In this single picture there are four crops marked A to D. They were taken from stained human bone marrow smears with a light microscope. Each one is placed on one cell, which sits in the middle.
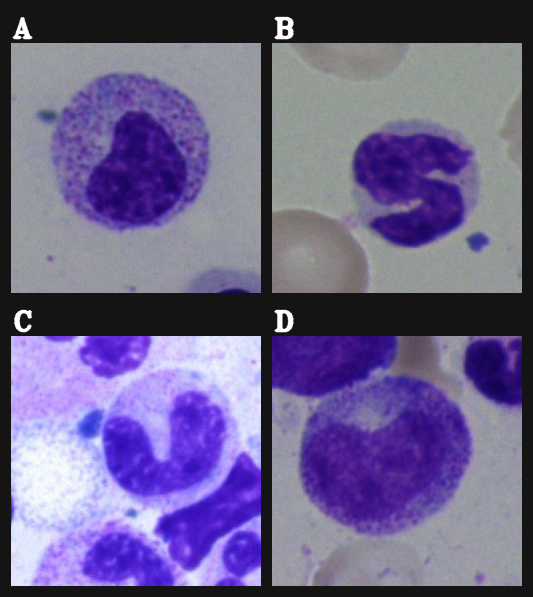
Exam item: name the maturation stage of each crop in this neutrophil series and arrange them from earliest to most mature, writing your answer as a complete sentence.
By increasing maturity, the order is crop D (a myelocyte), crop A (a metamyelocyte), crop C (a band neutrophil) and crop B (a segmented neutrophil).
